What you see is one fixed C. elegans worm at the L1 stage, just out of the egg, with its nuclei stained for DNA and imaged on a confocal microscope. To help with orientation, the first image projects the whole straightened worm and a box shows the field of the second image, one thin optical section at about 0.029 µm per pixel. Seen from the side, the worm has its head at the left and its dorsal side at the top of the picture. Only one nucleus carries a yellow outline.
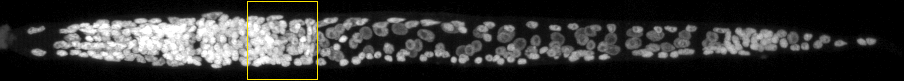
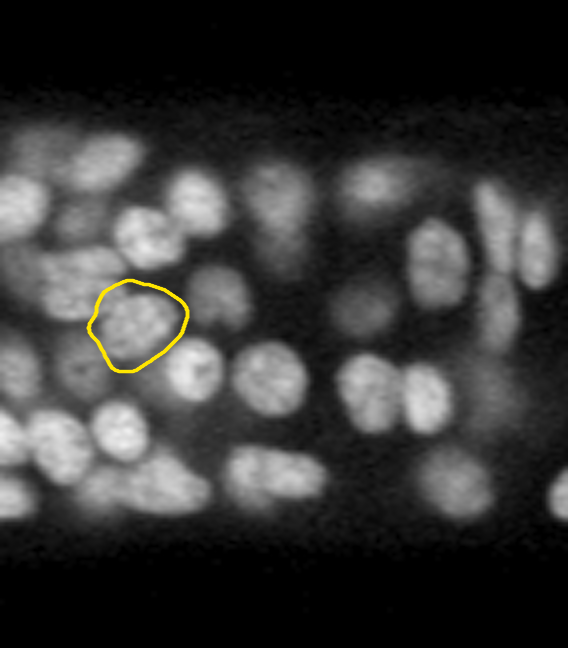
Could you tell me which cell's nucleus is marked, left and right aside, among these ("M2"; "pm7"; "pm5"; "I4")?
pm5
